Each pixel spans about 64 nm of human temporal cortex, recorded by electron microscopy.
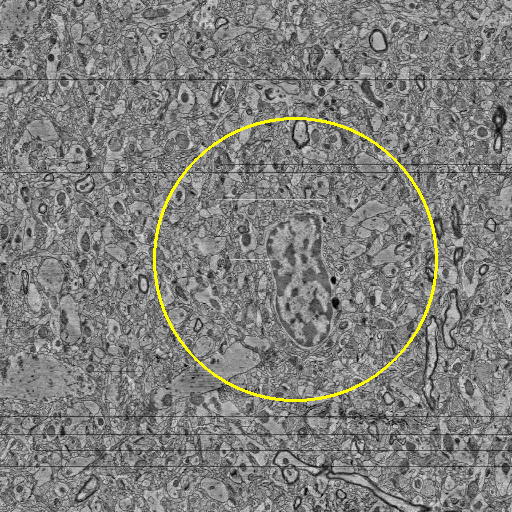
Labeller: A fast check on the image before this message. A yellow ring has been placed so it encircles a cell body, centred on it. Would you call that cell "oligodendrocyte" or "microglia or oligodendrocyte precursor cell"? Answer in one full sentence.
In this image, a microglial cell or oligodendrocyte precursor cell is the cell on which the yellow ring is centred.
